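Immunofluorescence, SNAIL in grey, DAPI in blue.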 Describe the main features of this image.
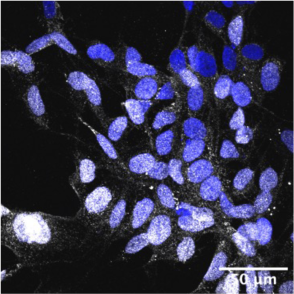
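Around the nuclei, a fainter grey haze outlines thin, spread-out cytoplasm, and some cells send out slender extensions toward their neighbours. Many nuclei look pale, almost whitish, where the grey and blue overlap, and a few cells stand out brighter grey than the rest. The cells do not form any obvious tissue-like pattern.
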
